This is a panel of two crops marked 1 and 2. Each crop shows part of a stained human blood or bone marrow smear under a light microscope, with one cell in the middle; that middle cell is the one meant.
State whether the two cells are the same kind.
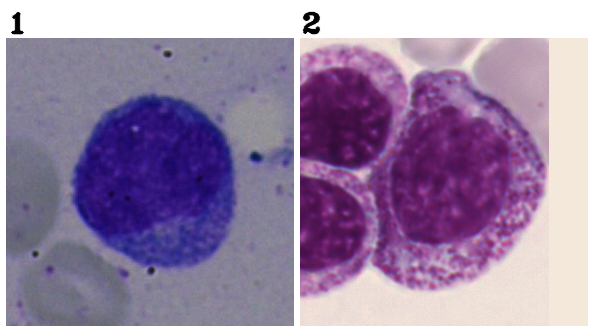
no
